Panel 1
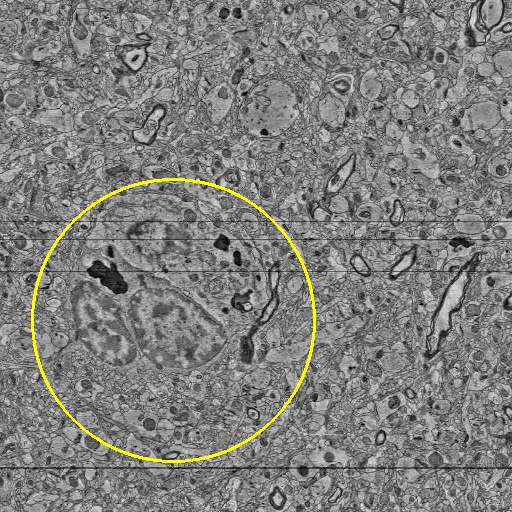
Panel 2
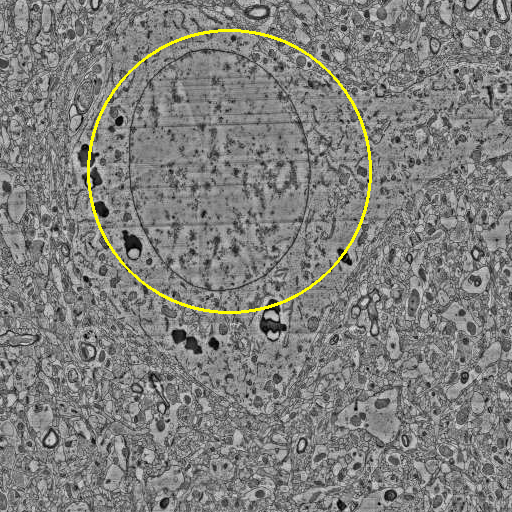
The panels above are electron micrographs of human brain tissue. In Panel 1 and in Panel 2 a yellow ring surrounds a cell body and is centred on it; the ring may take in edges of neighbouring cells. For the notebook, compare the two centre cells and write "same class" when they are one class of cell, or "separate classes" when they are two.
separate classes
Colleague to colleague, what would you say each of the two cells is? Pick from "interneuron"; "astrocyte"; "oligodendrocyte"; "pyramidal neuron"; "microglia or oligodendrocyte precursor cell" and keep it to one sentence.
The cell in the first picture is an oligodendrocyte; the second picture's cell is a pyramidal neuron.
